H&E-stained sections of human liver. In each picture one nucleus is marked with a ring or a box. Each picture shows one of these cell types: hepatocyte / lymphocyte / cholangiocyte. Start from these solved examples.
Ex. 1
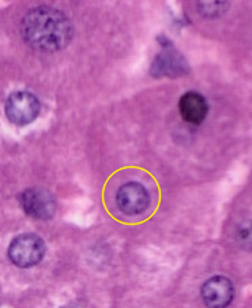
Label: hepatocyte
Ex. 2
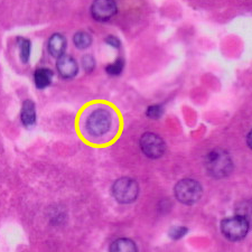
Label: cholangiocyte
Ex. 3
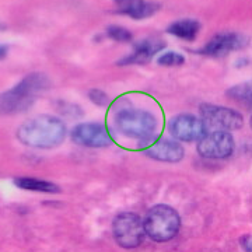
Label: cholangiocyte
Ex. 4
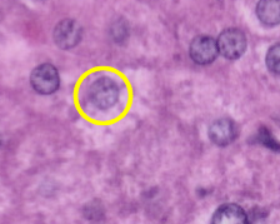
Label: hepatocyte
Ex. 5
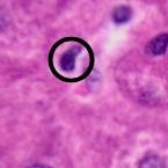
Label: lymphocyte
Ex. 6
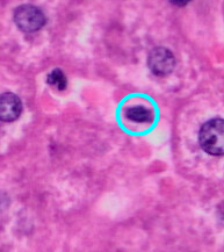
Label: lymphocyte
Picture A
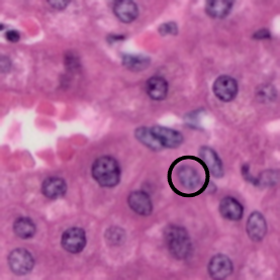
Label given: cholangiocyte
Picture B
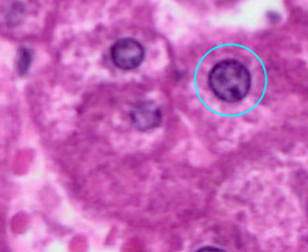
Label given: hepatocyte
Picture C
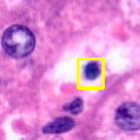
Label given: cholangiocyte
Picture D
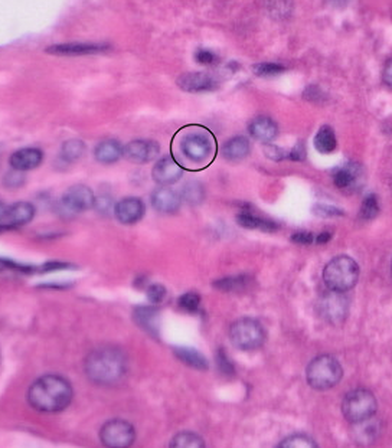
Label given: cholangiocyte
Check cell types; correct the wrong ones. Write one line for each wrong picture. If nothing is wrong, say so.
C: lymphocyte, not cholangiocyte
